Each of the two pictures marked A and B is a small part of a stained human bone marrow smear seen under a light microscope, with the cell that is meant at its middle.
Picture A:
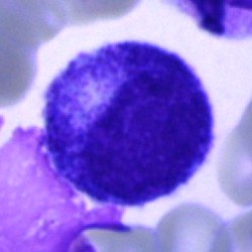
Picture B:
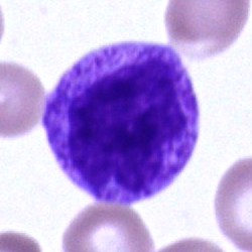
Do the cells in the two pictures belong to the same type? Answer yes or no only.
yes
